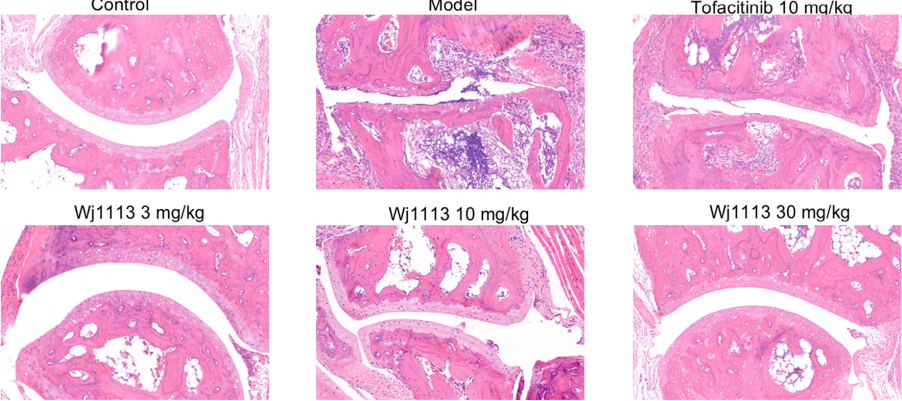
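These are sections of a joint in which two rounded bone ends face each other across a narrow, clear joint space. In several images the joint surfaces are smooth and the marrow spaces hold loose, pale tissue and fat. In others, dense collections of small, dark purple nuclei fill the marrow spaces and the soft tissue beside the joint, and the bone outline is irregular. Pale fibrous and muscle tissue lies at the edges of some images, outside the joint.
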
